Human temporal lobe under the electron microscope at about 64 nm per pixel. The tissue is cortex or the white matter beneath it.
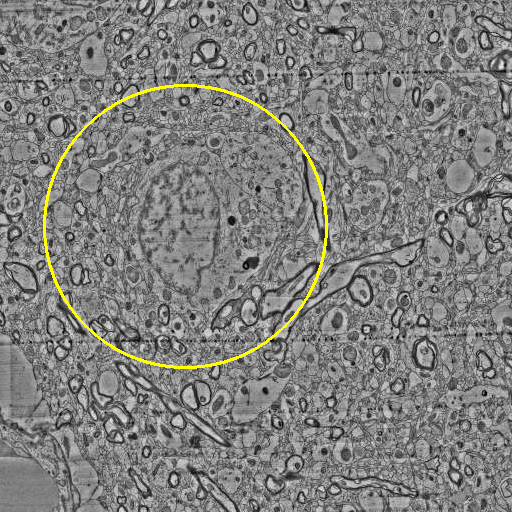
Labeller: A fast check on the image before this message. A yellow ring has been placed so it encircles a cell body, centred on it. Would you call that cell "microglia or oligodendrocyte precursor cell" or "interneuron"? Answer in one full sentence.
In this image, an interneuron is the cell on which the yellow ring is centred.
